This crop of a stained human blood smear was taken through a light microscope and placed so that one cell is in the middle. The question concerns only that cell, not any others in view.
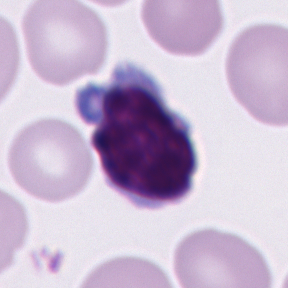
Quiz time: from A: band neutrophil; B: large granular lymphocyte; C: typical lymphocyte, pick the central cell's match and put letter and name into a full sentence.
Since the cell in the centre is a typical lymphocyte, the correct option is C.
